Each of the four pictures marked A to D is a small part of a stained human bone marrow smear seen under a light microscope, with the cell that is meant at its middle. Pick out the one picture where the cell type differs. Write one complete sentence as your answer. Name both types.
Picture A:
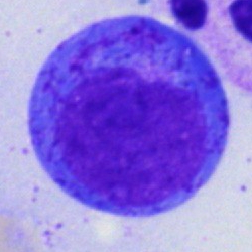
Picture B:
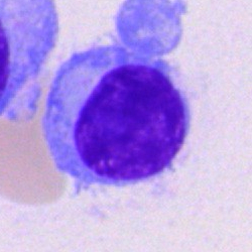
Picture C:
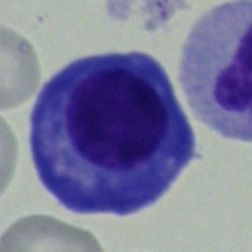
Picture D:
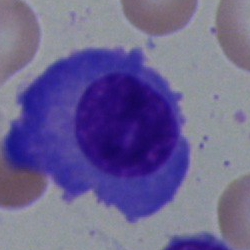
All pictures except A show plasma cells; picture A shows a promyelocyte.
